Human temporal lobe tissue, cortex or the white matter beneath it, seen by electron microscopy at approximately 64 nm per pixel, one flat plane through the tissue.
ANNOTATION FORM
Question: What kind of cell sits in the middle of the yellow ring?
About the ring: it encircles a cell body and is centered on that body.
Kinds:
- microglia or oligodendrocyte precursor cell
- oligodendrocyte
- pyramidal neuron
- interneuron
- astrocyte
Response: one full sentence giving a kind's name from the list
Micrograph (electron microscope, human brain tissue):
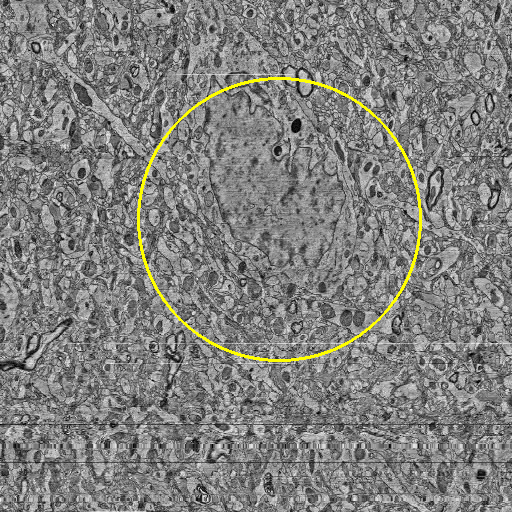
The kind of cell found at the center of the yellow ring in the micrograph is an interneuron.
